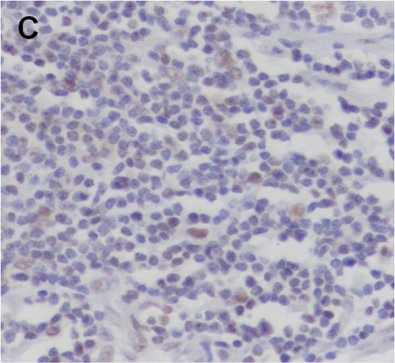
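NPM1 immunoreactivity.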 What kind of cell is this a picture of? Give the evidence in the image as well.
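Dense sheets of small cells with round, dark nuclei. Very scant cytoplasm around each nucleus.
Conclusion: inflammatory cells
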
